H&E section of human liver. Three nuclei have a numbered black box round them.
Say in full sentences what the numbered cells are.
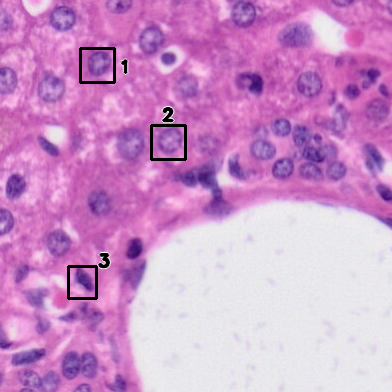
Cells 1 and 2 are hepatocytes. Cell 3 is a fibroblast or stellate cell.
